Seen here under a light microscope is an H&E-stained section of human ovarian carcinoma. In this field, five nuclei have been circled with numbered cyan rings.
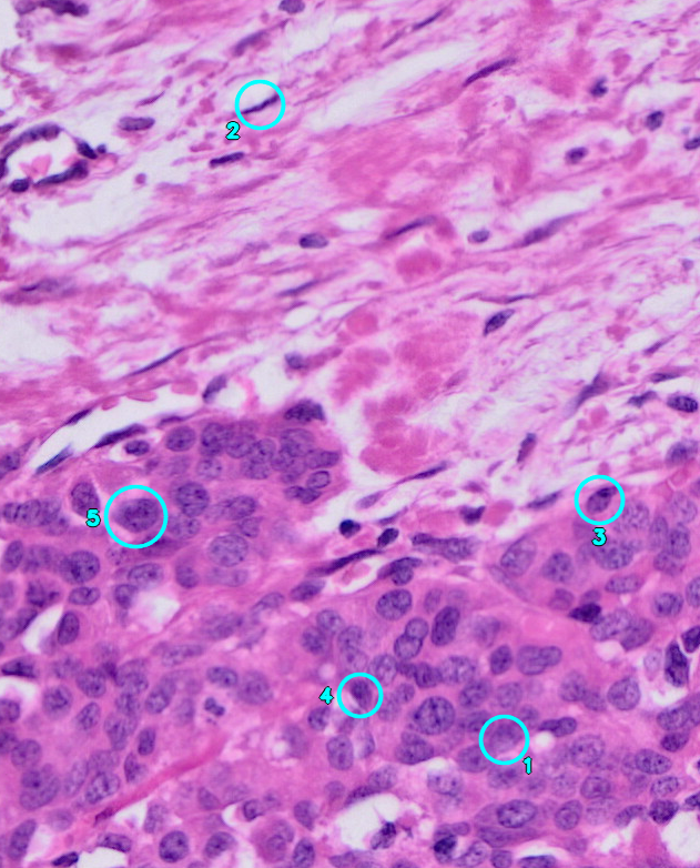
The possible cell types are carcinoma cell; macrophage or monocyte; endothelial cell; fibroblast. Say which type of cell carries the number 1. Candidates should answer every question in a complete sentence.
Number 1 is placed on a carcinoma cell here.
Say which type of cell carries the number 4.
The marked cell bearing number 4 is a carcinoma cell.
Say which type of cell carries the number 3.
The marked cell bearing number 3 is a macrophage or monocyte.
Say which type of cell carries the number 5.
The correct label for cell 5 is a carcinoma cell.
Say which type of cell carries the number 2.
The correct label for cell 2 is a fibroblast.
